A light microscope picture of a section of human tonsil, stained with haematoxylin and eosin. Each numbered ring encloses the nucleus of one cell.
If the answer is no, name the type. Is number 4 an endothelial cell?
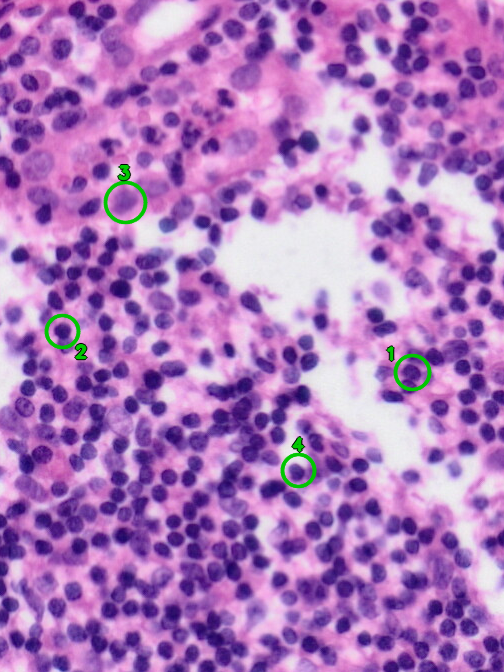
No, it is a small lymphocyte.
